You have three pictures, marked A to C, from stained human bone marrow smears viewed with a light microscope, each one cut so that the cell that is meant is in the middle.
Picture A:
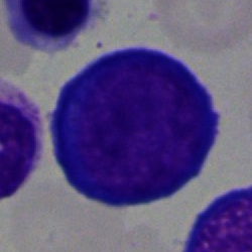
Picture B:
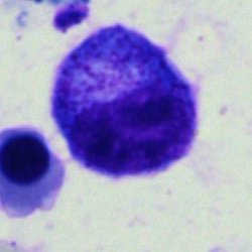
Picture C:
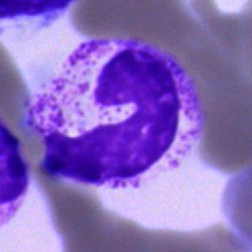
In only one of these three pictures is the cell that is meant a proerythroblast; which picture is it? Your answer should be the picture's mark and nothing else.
A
